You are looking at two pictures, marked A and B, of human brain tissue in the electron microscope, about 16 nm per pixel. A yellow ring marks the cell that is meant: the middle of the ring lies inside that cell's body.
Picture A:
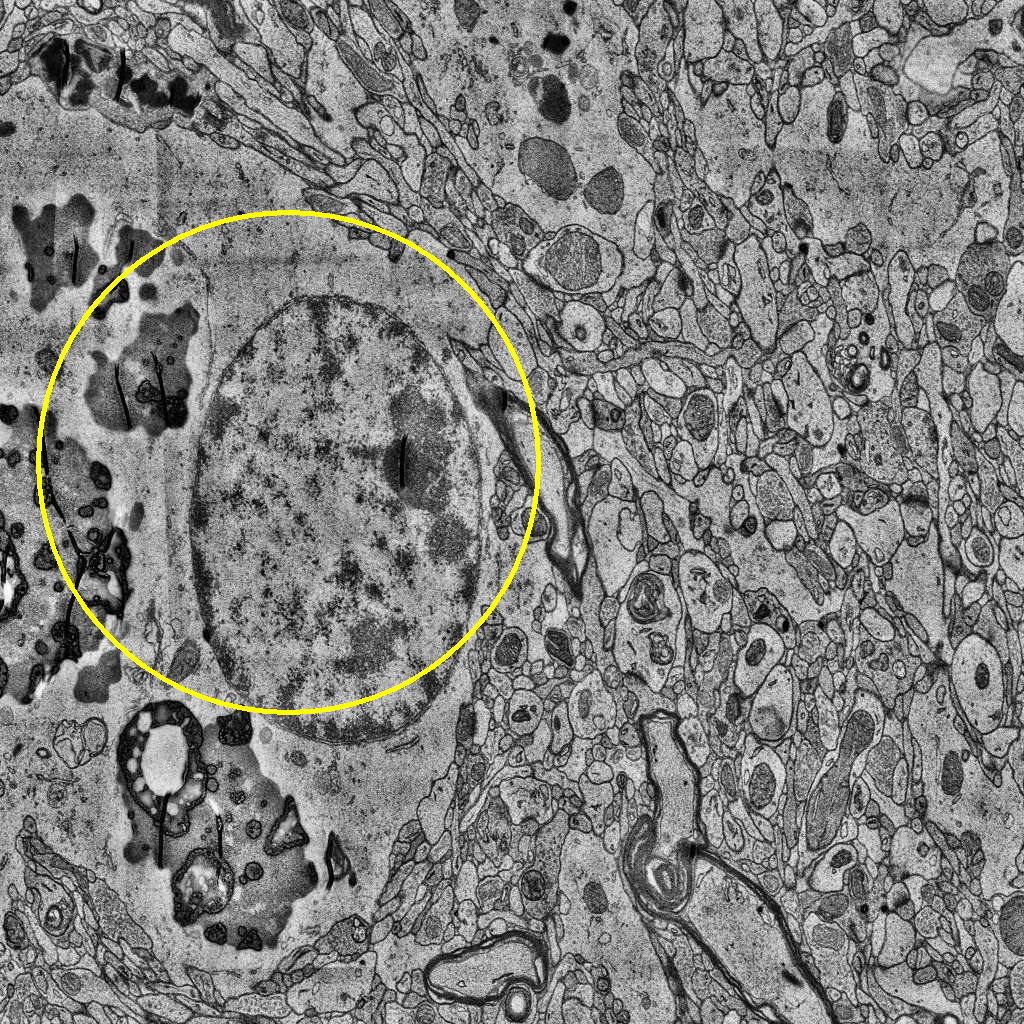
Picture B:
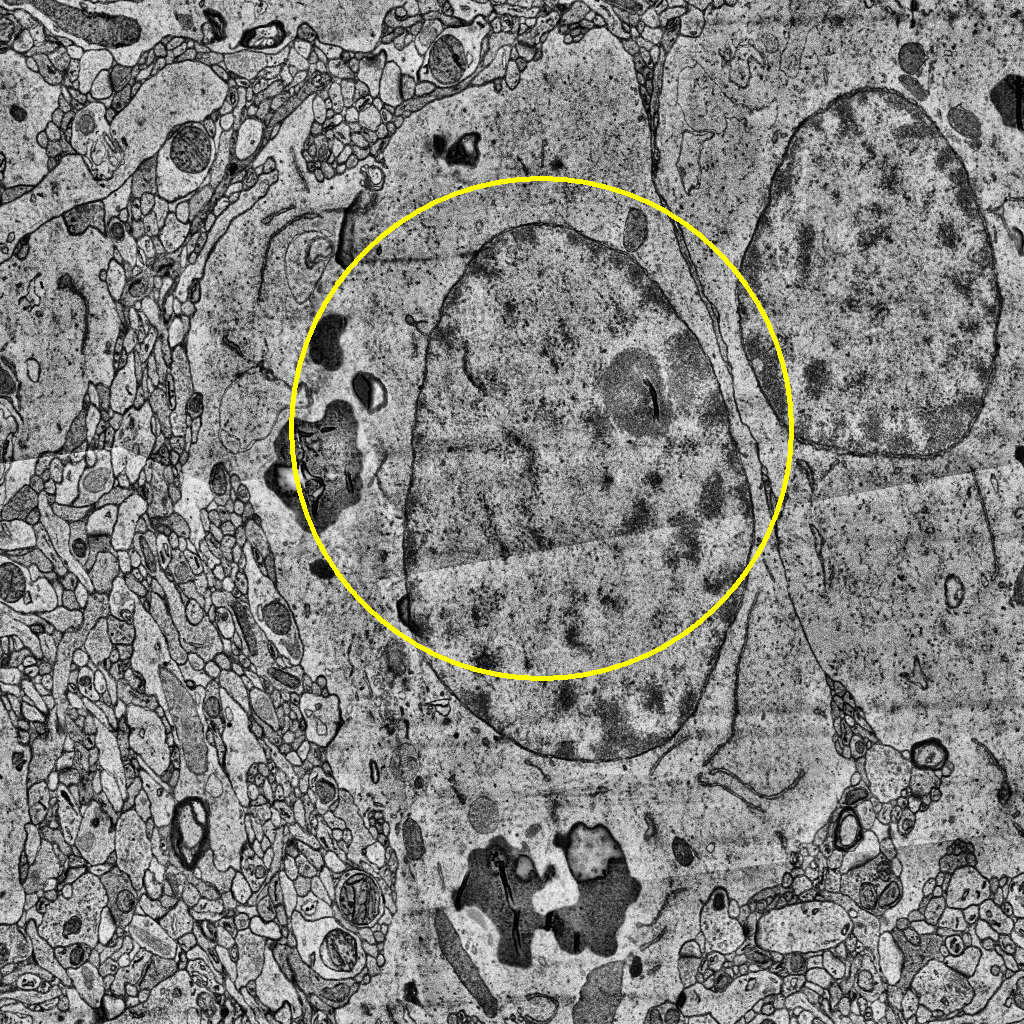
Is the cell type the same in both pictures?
Yes, both cells are astrocytes.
